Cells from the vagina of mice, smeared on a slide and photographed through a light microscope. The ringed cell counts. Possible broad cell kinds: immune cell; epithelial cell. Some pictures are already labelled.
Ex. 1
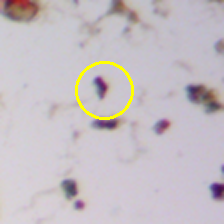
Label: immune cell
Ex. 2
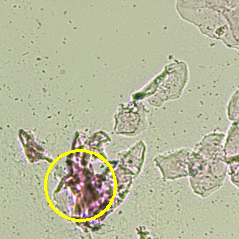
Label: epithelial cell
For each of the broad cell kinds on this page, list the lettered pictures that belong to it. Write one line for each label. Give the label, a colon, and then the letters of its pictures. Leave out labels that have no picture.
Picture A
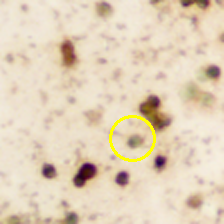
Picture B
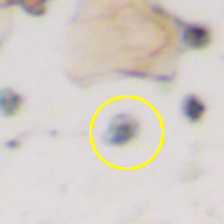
immune cell: A, B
